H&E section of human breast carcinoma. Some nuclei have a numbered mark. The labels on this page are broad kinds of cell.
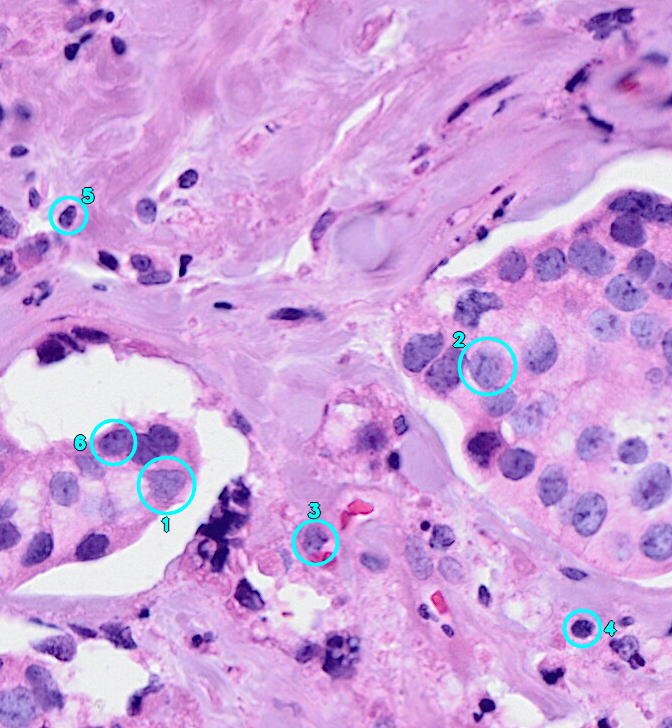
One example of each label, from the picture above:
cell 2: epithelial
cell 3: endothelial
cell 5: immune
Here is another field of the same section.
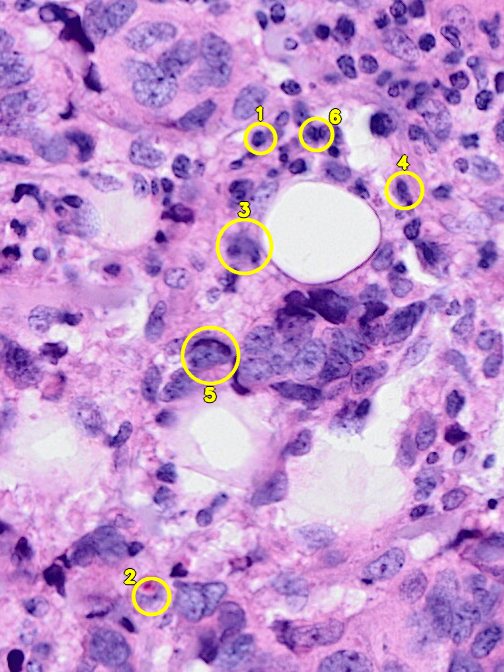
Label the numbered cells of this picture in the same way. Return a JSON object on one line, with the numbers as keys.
{"1": "immune", "2": "endothelial", "3": "epithelial", "4": "immune", "5": "epithelial", "6": "immune"}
